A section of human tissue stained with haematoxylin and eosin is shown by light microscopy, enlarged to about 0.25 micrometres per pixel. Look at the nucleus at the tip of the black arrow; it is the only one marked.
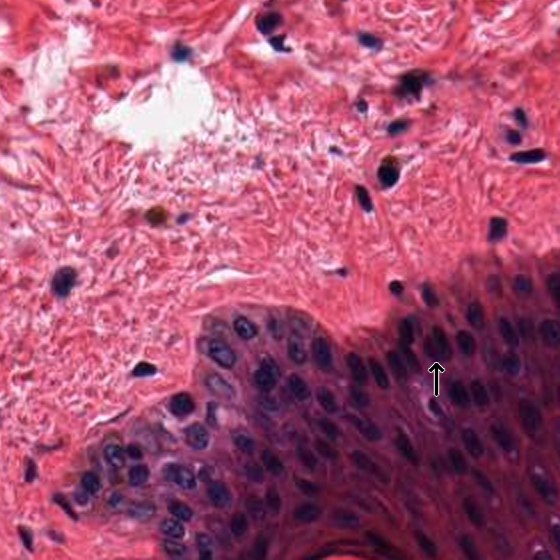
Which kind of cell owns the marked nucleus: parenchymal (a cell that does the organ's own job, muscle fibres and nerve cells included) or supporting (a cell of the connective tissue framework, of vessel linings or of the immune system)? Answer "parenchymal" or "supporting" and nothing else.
parenchymal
